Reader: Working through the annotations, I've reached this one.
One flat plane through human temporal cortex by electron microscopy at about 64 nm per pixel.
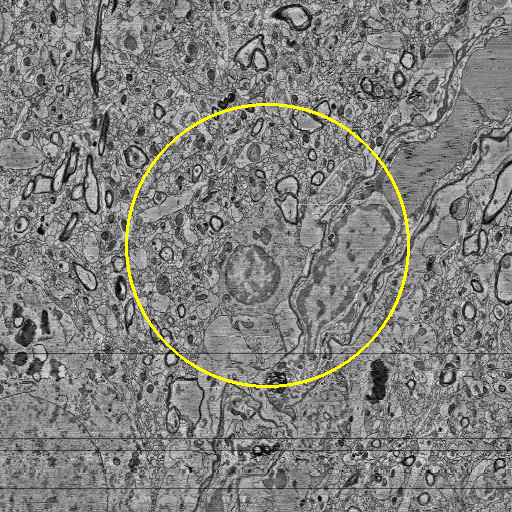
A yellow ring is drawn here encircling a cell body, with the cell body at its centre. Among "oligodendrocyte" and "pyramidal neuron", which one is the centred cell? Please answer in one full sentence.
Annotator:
The cell body at the centre of the yellow ring in this image belongs to an oligodendrocyte.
